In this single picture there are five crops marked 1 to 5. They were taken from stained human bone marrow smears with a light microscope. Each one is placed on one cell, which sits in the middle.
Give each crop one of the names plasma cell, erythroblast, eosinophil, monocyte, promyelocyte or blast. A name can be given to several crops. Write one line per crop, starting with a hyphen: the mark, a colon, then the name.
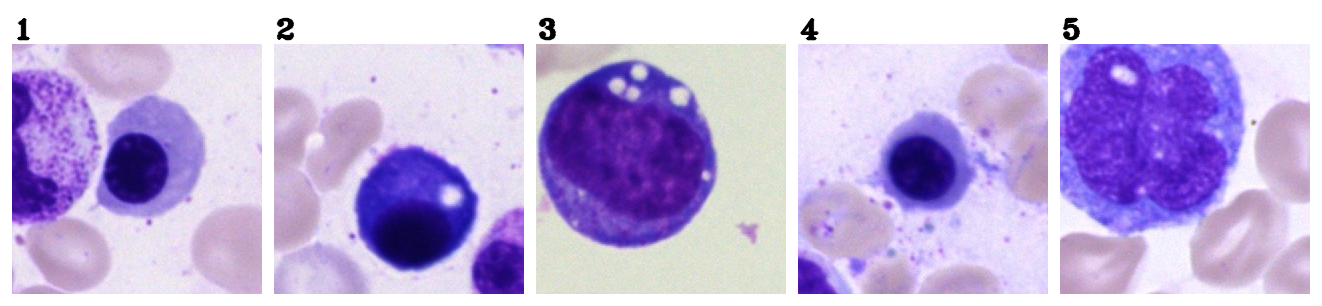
- 1: erythroblast
- 2: plasma cell
- 3: blast
- 4: erythroblast
- 5: monocyte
